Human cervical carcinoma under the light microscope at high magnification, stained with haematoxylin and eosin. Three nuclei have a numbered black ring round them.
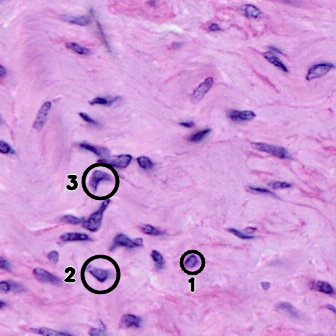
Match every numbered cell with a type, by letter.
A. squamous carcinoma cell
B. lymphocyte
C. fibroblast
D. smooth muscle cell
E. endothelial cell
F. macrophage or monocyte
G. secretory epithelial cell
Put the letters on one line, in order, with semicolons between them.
D; C; C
